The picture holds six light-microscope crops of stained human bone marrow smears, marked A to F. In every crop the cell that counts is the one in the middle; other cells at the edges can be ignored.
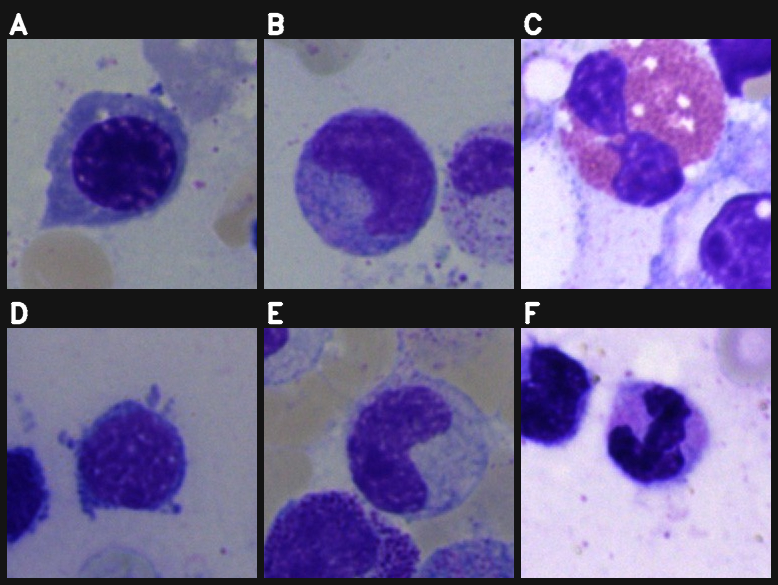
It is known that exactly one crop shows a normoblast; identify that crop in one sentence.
The cell identified as a normoblast is the one in crop A.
